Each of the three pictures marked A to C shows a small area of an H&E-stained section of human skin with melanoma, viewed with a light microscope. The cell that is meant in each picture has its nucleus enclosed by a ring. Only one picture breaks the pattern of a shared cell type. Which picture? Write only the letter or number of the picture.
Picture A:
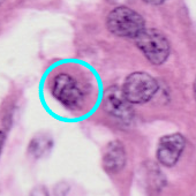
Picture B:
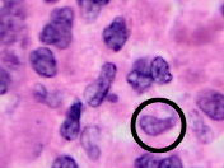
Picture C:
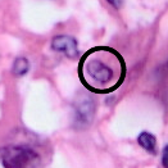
A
